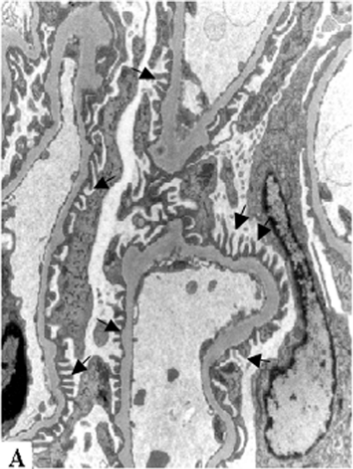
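This electron micrograph shows glomerular capillary loops with their filtration wall, and podocyte foot processes lining it. A thin, even, grey basement membrane curves around pale capillary lumens. On its outer side rows of many small, separate, finger-like foot processes stand at regular intervals, with narrow clear gaps between them, giving a comb-like outline. Larger branches of podocyte cytoplasm lie in the urinary space between the loops, and the edge of a podocyte nucleus is seen at the margin. The foot processes are intact and neatly interdigitated, as in a normal filtration barrier.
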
